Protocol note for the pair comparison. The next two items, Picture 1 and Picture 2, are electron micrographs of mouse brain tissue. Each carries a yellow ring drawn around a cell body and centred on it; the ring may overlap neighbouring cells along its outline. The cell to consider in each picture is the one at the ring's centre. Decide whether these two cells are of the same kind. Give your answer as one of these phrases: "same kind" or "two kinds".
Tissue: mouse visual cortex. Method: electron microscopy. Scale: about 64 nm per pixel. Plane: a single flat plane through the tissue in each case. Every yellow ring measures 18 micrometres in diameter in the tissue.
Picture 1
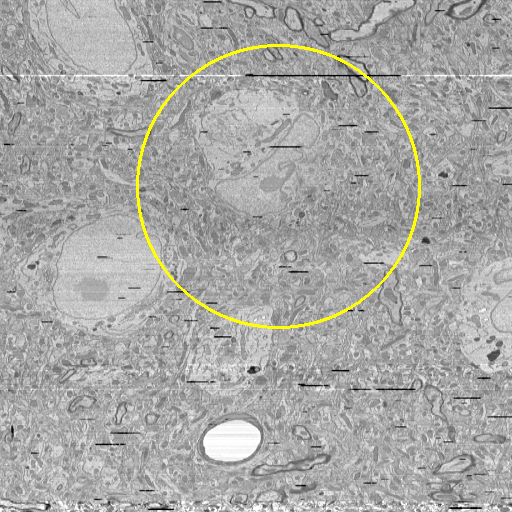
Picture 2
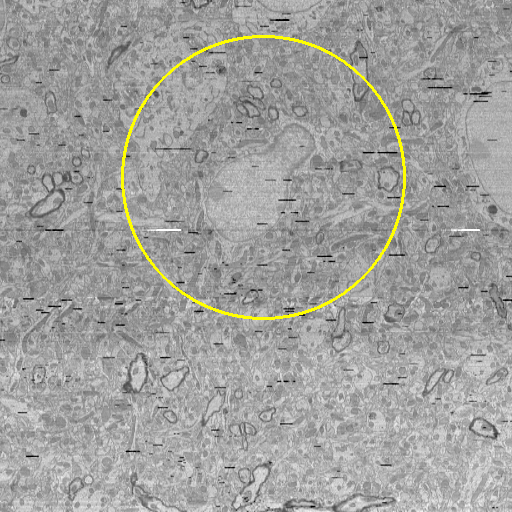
two kinds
